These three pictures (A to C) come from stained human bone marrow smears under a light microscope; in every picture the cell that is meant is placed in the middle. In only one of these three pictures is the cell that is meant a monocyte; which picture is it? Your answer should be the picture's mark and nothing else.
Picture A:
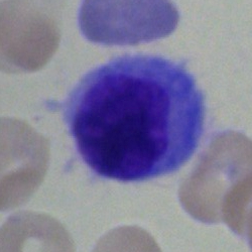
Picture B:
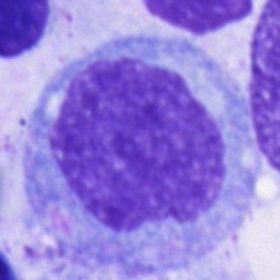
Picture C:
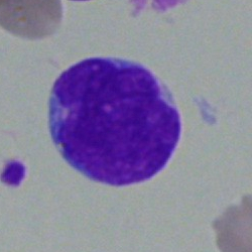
B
